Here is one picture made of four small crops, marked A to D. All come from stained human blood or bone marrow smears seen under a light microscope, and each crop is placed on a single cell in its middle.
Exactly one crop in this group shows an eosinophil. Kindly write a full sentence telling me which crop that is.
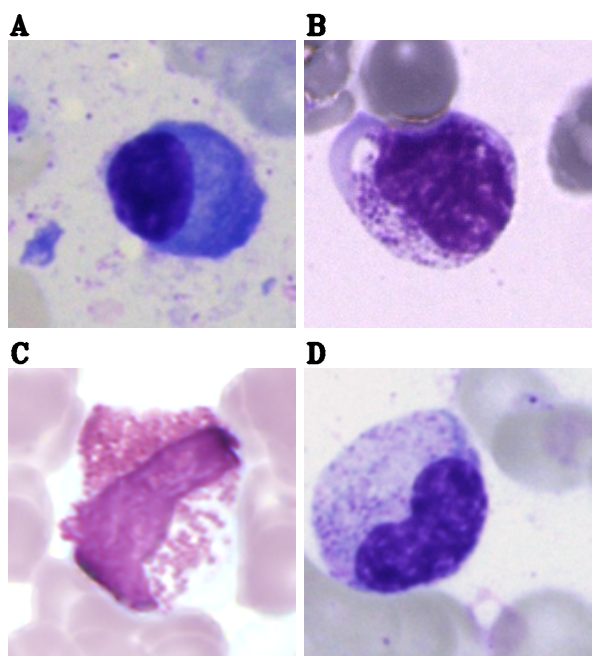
Crop C is the crop featuring an eosinophil at its center.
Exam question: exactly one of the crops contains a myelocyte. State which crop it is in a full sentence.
Crop B is identified as the crop showing a myelocyte.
